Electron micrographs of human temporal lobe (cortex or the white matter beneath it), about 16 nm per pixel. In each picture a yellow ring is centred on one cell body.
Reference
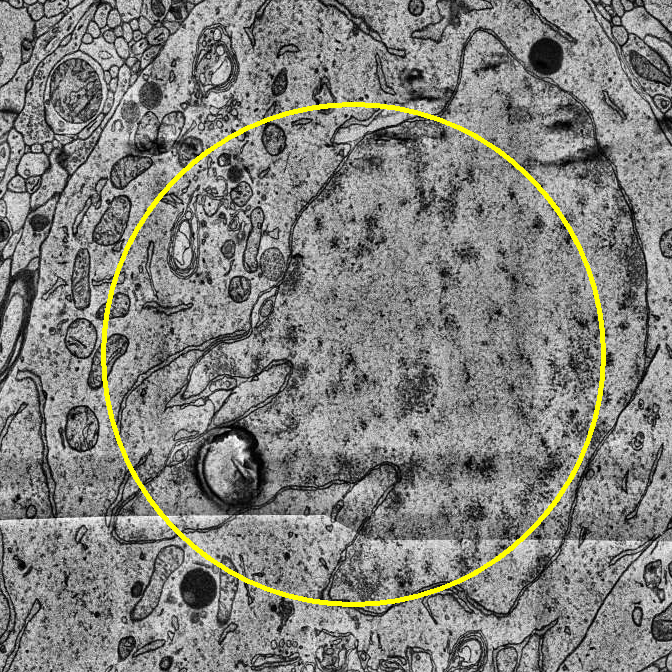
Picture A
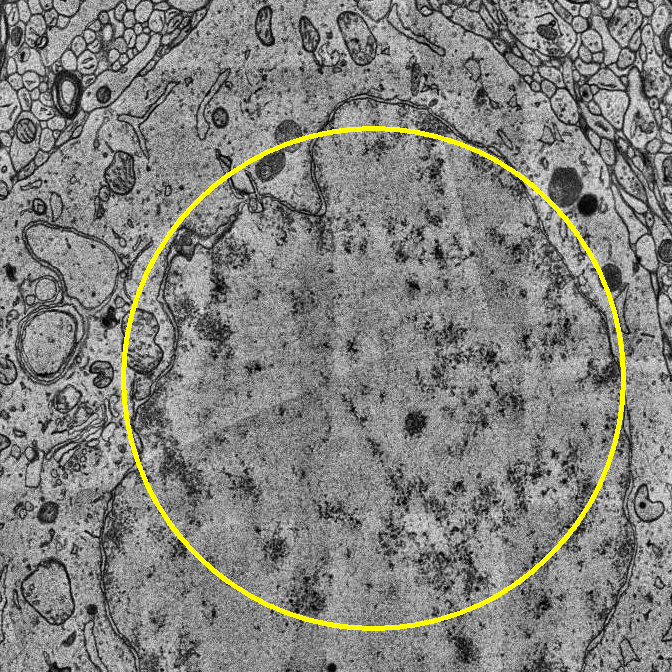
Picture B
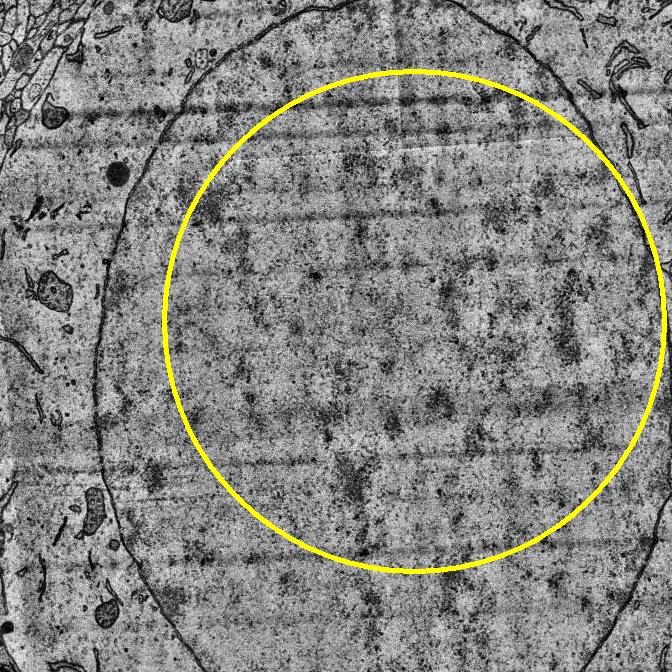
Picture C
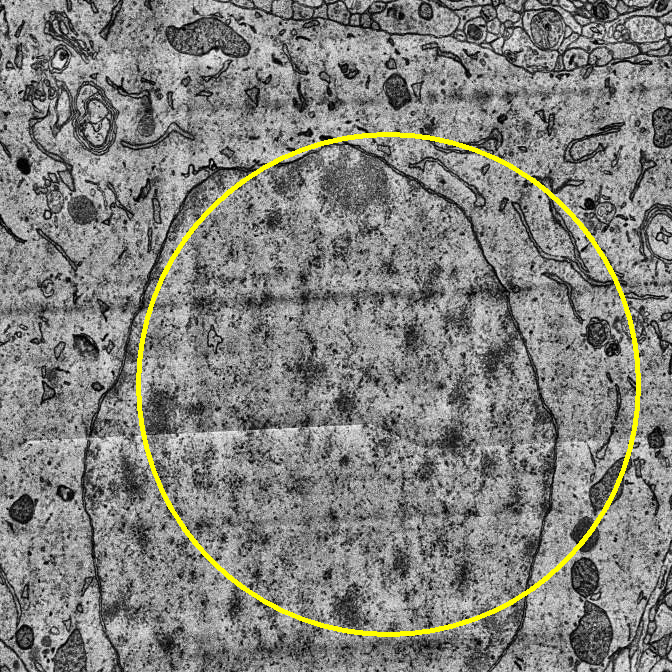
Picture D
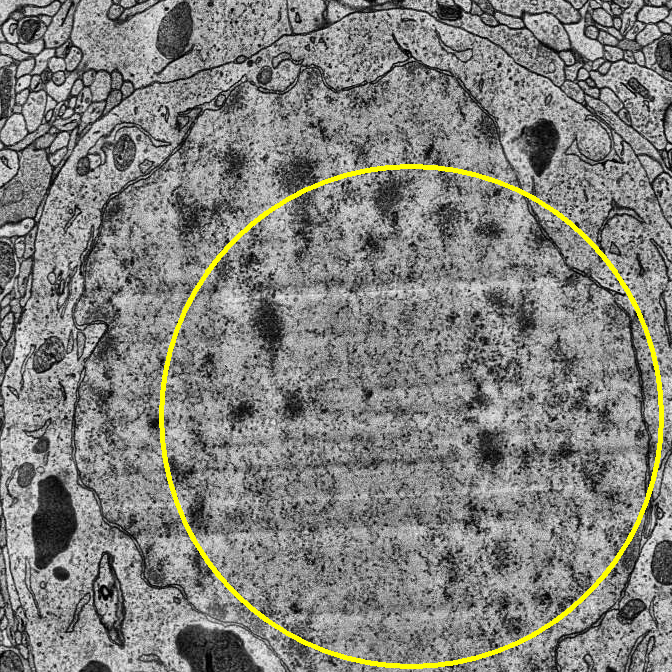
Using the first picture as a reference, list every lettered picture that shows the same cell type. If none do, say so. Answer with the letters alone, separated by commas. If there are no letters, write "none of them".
A, D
